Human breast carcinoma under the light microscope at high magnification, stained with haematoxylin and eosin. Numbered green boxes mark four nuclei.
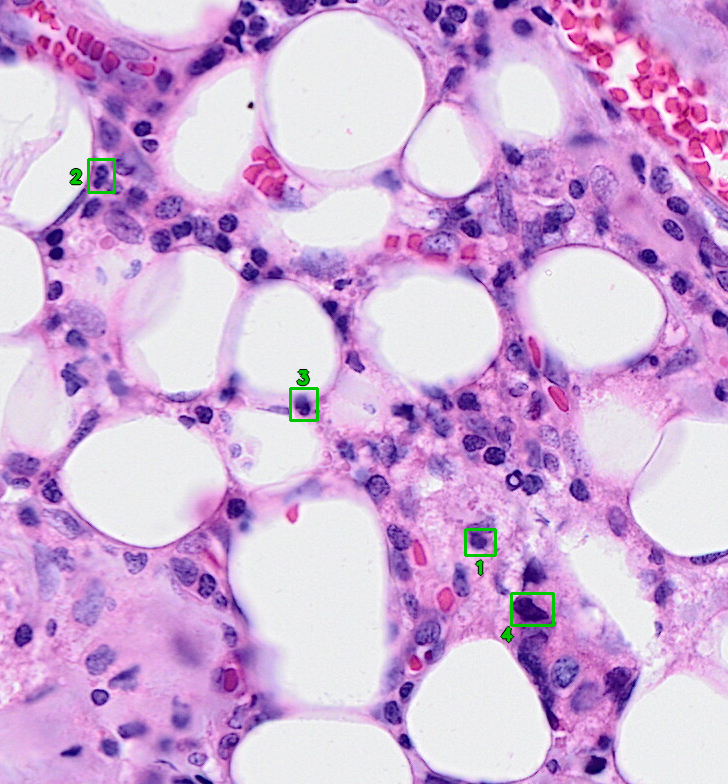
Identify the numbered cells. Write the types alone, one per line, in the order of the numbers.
lymphocyte
lymphocyte
lymphocyte
carcinoma cell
